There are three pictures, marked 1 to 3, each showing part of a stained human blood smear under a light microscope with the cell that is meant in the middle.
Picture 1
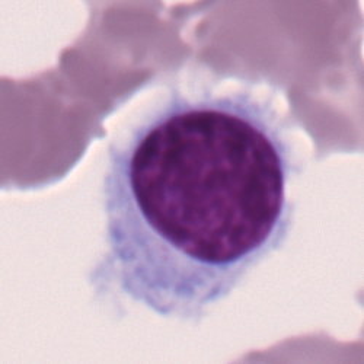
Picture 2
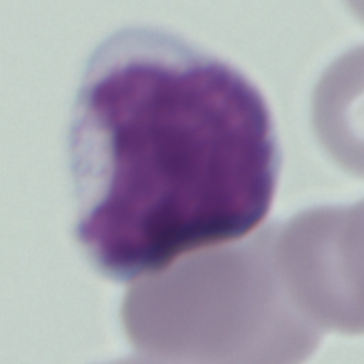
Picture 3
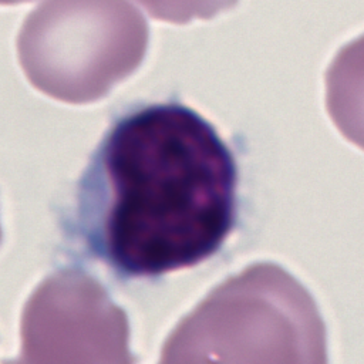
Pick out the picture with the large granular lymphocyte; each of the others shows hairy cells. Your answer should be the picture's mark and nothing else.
2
